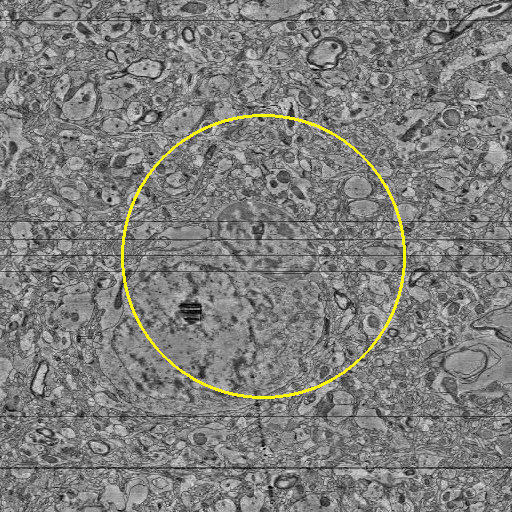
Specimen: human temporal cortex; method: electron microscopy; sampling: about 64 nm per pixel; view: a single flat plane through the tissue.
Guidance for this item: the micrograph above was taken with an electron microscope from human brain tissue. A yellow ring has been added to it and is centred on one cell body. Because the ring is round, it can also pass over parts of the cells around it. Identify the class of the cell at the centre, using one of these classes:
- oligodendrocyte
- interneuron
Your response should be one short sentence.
The ring surrounds the body of an oligodendrocyte.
